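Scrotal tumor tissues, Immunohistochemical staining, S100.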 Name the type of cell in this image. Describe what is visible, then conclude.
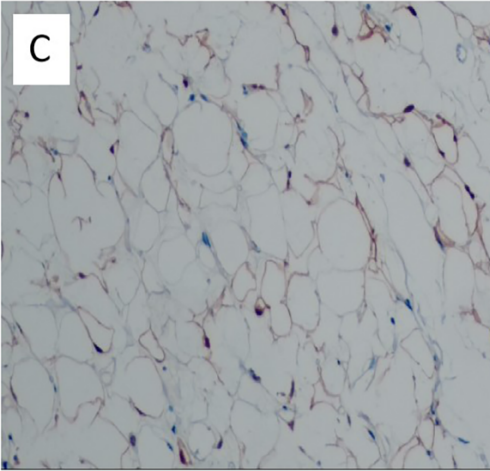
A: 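Large, clear, vacuole-like cells with thin brown-outlined membranes. Small nuclei at the rims of the cells. The answer: adipocytes.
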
